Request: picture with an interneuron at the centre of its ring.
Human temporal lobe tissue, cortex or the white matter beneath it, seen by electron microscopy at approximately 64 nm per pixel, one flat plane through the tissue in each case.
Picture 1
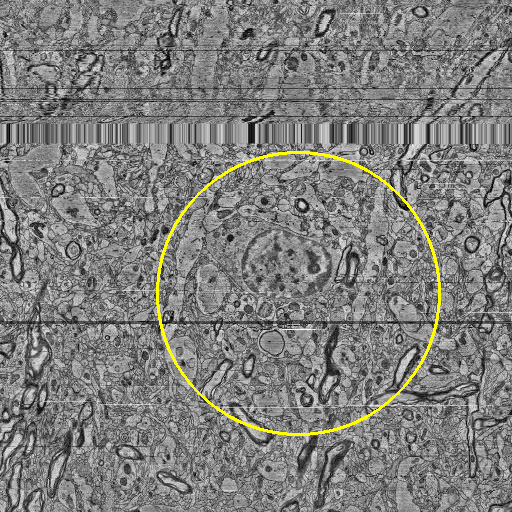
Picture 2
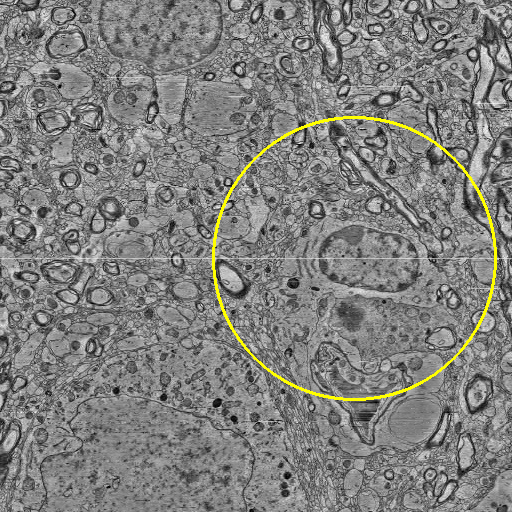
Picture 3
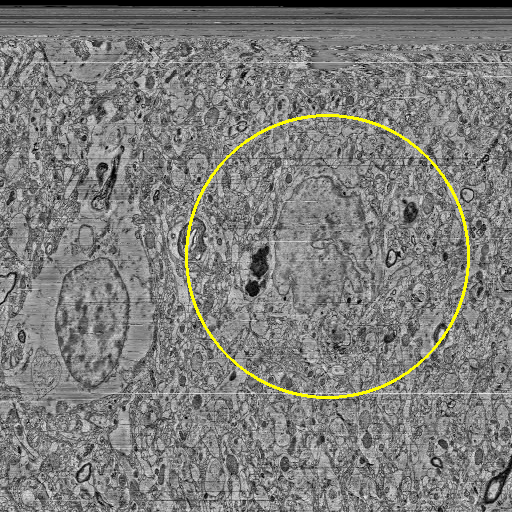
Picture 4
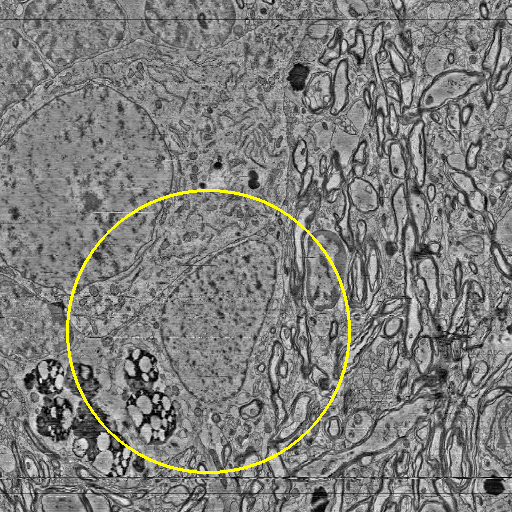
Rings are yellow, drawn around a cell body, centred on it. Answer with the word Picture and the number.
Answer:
Picture 3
